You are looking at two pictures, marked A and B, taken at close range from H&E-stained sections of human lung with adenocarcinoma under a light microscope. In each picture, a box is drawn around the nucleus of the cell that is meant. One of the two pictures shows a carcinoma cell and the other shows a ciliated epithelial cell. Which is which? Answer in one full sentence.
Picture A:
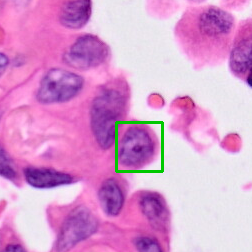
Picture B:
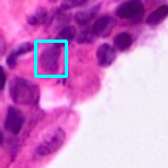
It is picture A that shows a carcinoma cell, and picture B that shows a ciliated epithelial cell.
